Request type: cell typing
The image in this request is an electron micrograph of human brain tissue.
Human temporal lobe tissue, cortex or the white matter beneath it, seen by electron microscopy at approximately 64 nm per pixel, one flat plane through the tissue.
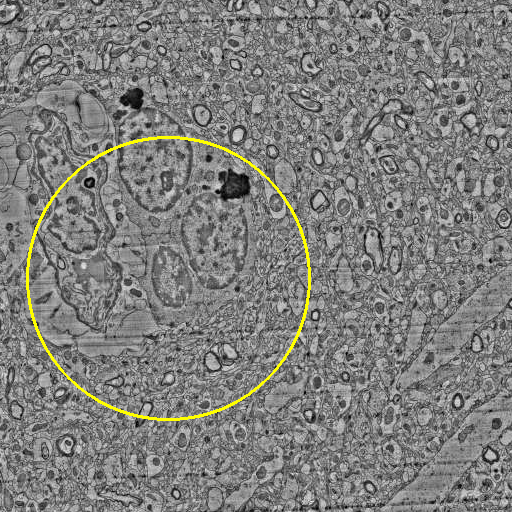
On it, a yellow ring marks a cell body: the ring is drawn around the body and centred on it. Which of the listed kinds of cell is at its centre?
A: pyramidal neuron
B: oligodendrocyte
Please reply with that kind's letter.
B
